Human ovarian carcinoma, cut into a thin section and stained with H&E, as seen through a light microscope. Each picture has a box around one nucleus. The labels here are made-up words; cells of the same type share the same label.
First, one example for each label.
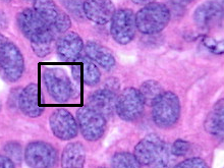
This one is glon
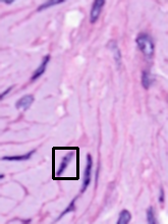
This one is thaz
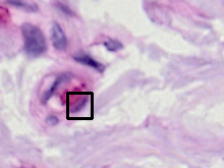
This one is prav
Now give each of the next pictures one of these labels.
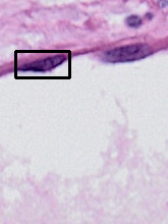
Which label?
prav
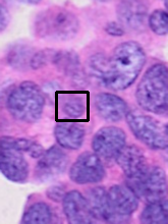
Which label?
glon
